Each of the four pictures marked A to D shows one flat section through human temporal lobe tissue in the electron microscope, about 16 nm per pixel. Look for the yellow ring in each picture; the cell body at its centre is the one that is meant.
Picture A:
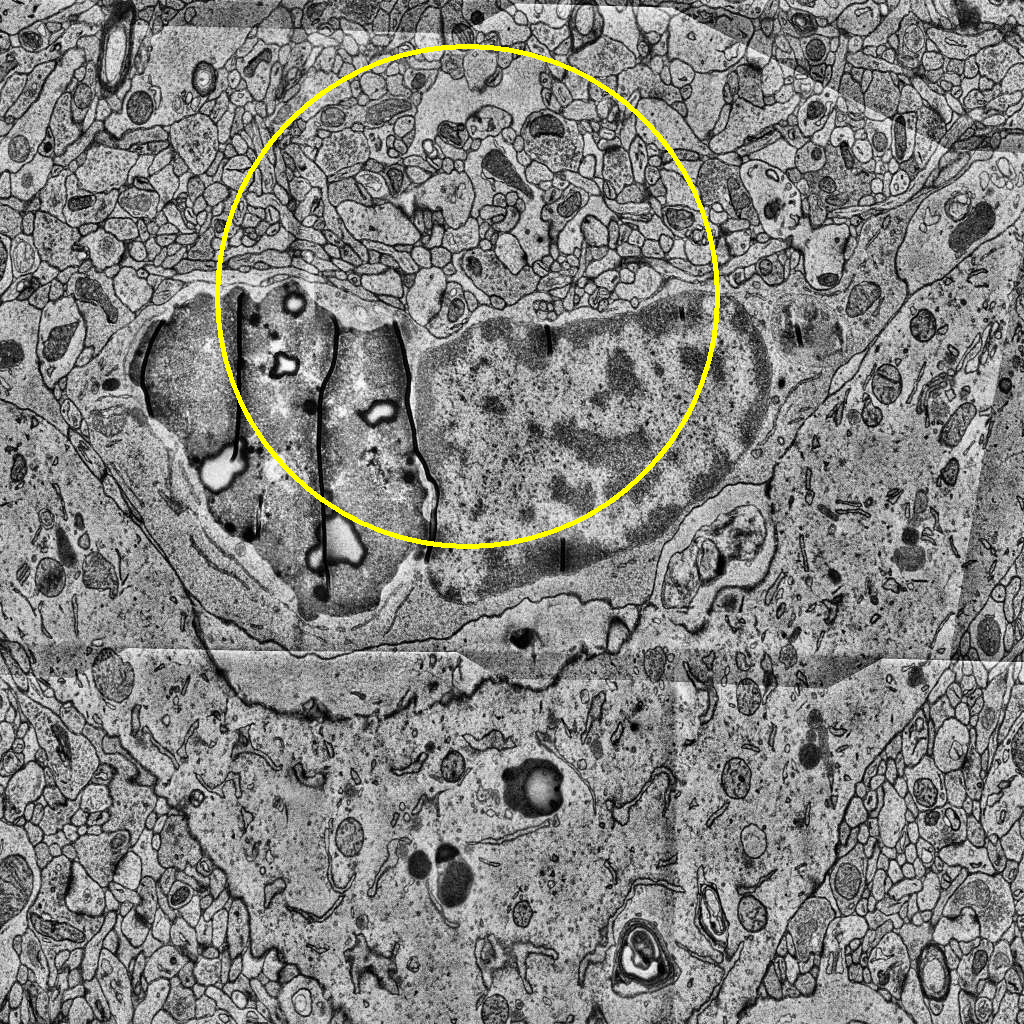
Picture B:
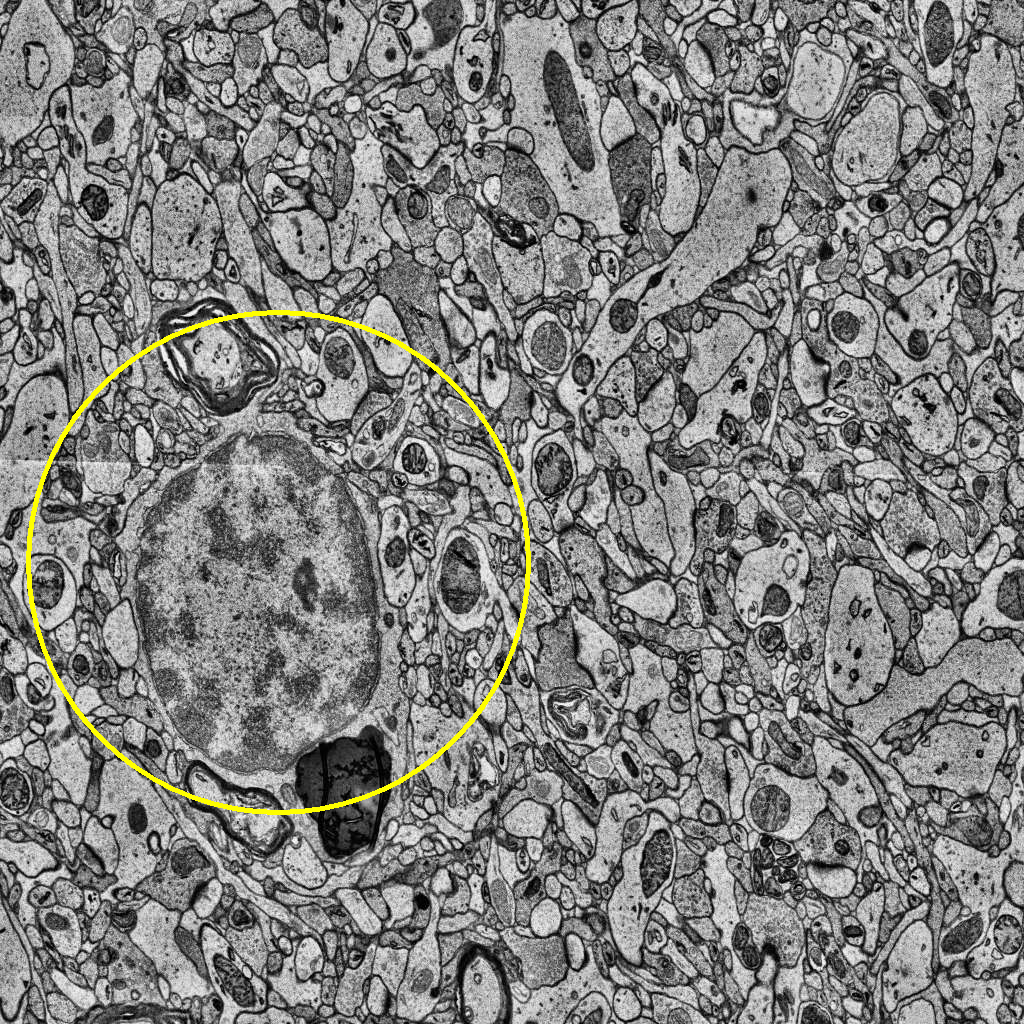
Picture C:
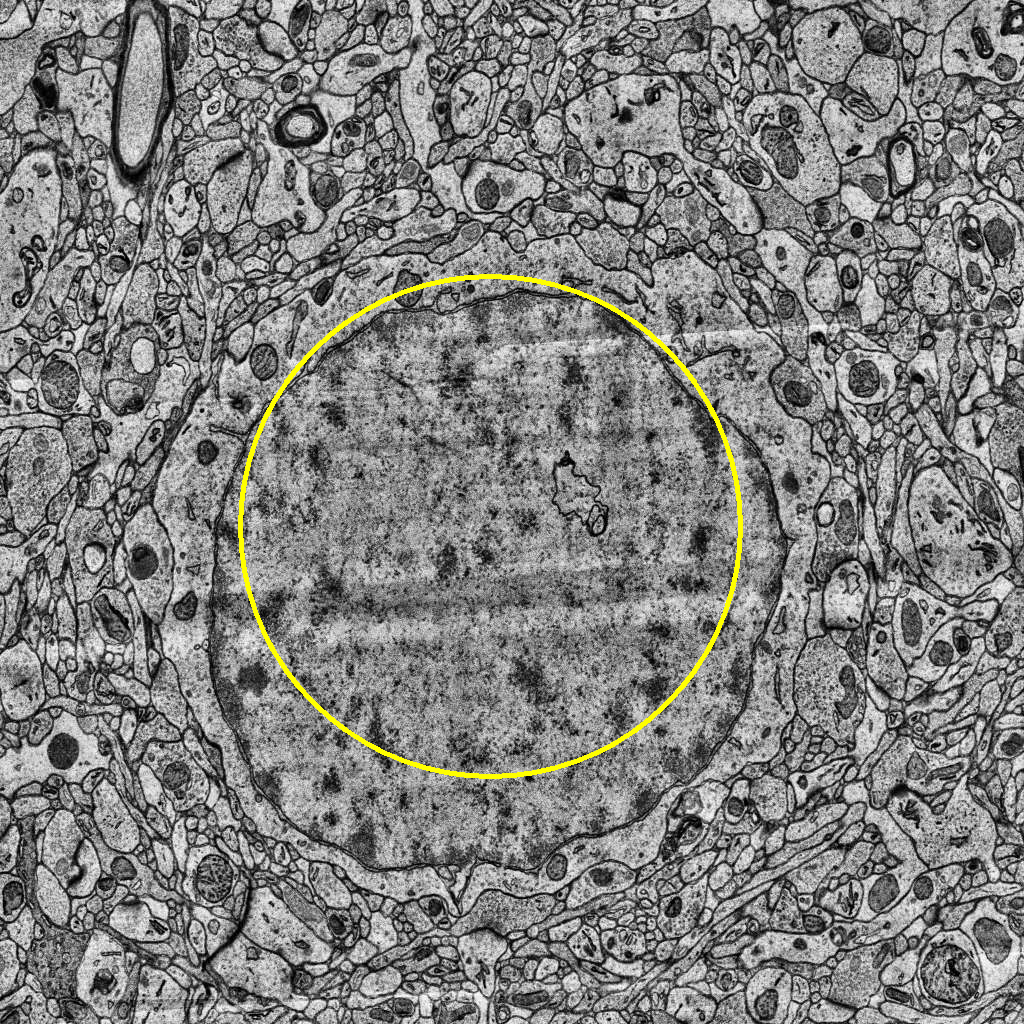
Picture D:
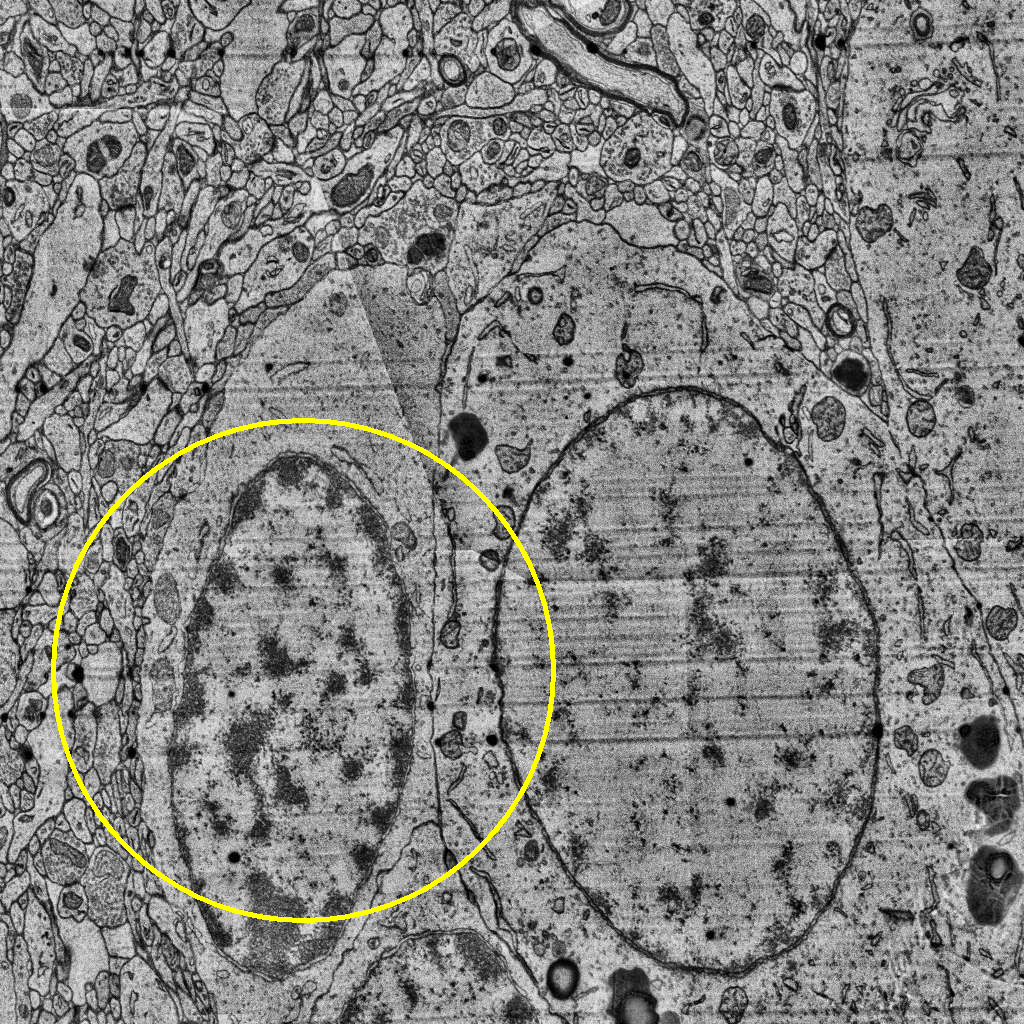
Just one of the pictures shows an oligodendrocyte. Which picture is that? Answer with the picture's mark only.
B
